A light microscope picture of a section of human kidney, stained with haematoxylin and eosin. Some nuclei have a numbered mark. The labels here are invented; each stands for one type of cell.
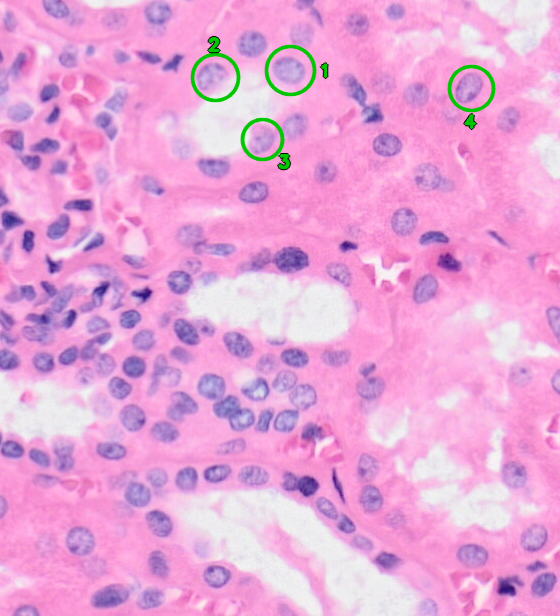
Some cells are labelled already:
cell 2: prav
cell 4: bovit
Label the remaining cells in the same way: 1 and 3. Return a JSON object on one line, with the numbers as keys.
{"1": "prav", "3": "prav"}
